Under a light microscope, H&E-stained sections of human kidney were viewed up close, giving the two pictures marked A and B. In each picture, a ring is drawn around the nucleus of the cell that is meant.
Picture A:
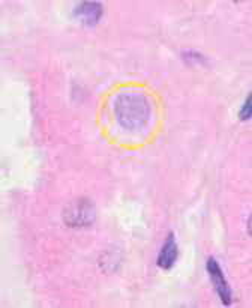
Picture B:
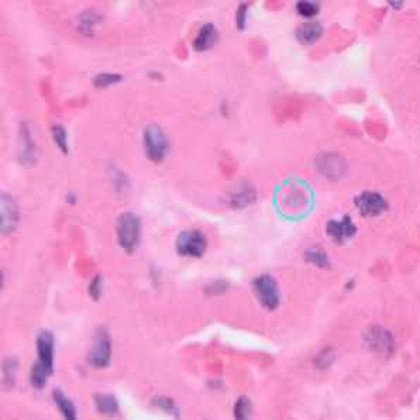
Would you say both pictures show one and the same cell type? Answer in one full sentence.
No, picture A shows a proximal tubule cell and picture B shows a “loop of Henle or distal tubule cell”.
